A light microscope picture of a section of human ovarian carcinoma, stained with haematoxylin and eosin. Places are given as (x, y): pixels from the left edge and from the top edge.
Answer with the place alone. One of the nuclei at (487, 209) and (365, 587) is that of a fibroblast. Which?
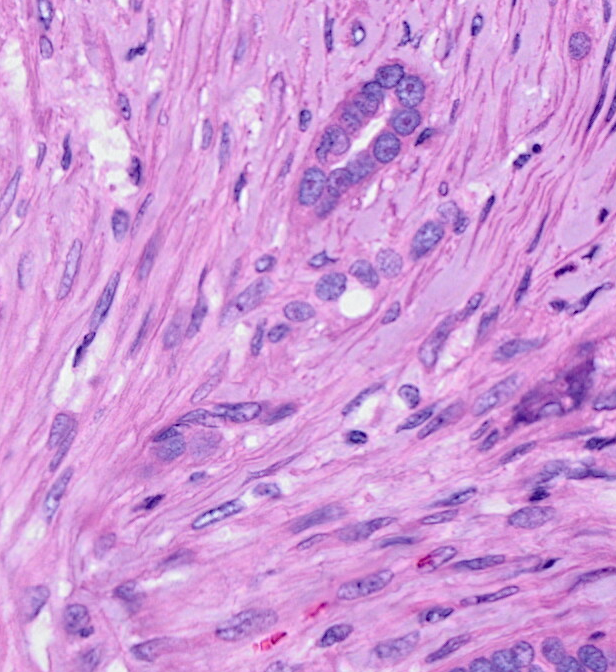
(487, 209)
